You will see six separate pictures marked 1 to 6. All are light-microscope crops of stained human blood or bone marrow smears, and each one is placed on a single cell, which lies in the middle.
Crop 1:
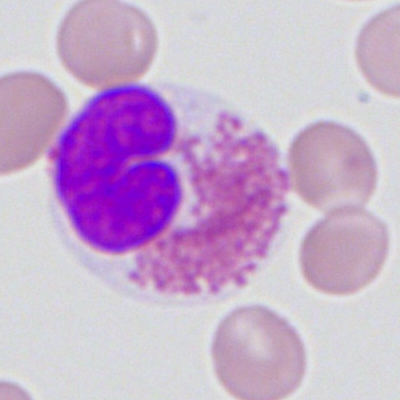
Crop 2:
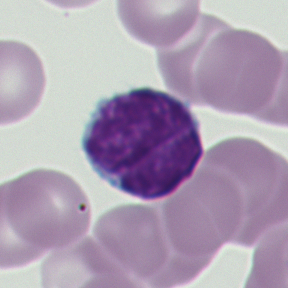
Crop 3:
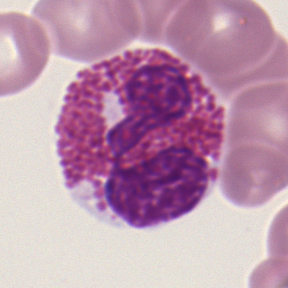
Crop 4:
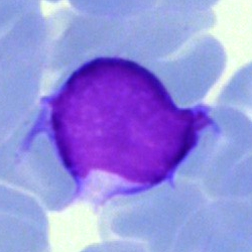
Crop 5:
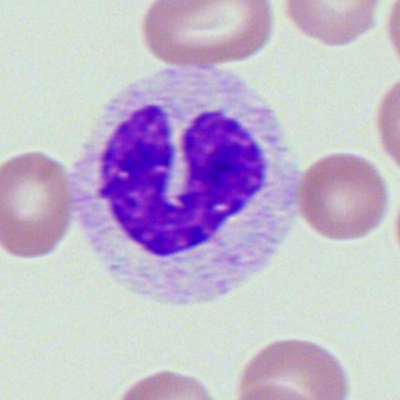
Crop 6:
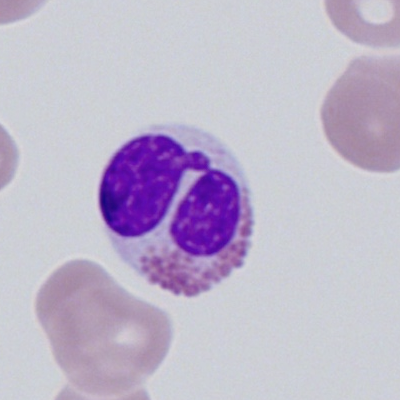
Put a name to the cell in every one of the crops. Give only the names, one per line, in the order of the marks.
eosinophil
lymphocyte
eosinophil
lymphocyte
band neutrophil
eosinophil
